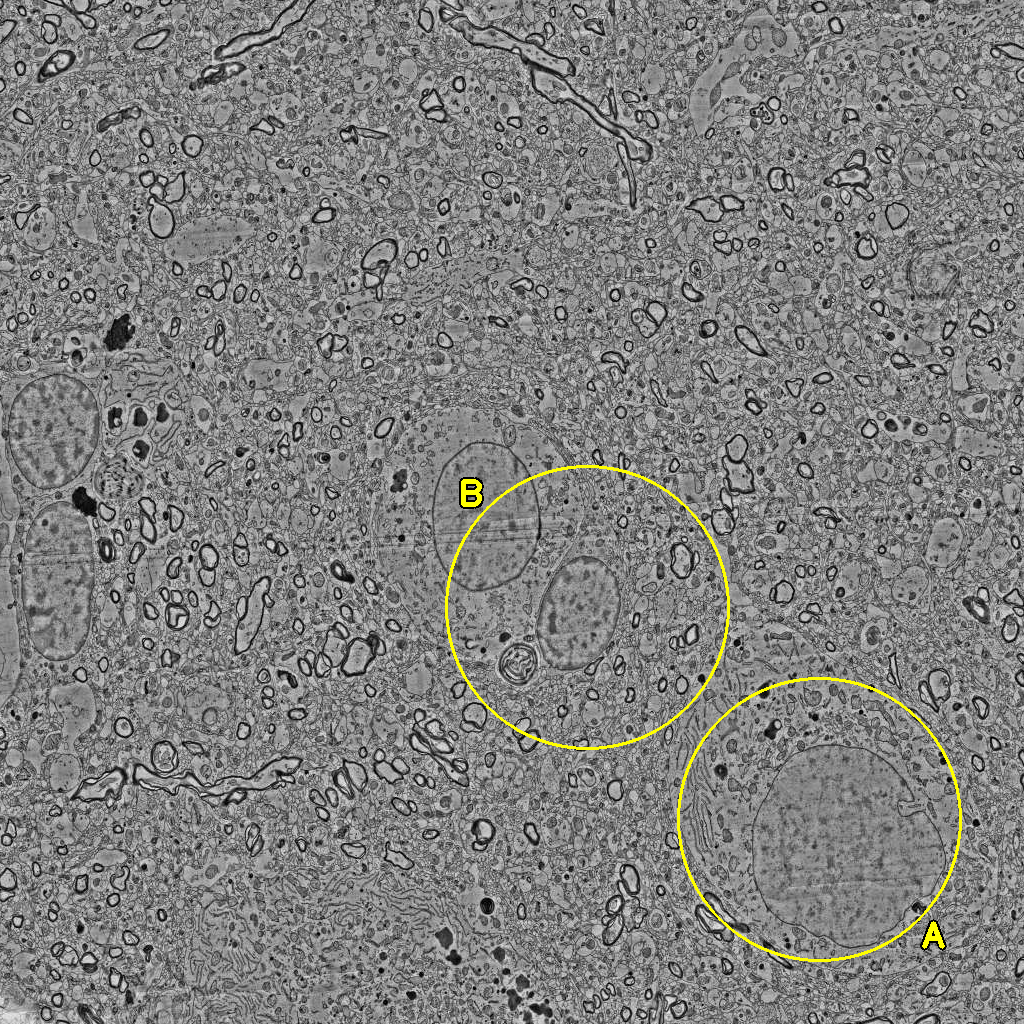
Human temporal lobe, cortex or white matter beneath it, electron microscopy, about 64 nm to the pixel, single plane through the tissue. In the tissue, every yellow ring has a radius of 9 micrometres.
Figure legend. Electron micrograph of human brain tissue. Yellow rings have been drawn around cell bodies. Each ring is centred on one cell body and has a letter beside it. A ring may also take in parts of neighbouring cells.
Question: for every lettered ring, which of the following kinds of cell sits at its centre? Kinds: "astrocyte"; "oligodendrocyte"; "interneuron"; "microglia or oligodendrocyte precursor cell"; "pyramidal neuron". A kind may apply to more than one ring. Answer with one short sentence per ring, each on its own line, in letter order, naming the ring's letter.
Ring A is centred on an interneuron.
Ring B is centred on an oligodendrocyte.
